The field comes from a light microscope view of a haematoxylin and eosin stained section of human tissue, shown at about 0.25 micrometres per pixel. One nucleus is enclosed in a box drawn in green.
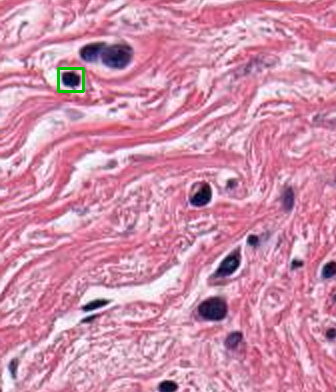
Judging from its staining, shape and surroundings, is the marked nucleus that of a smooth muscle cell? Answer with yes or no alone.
no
